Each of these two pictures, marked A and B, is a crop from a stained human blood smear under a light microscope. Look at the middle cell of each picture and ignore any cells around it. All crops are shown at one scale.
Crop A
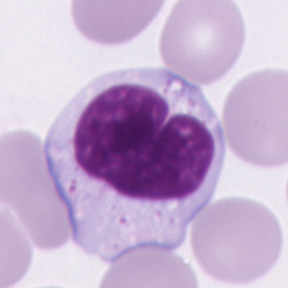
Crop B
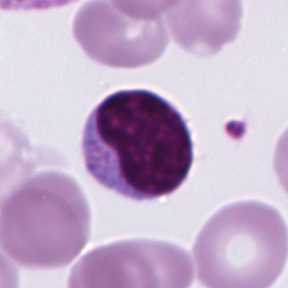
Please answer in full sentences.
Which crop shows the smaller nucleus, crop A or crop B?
It is the nucleus in crop B; the one in crop A has about 1.5 times its area.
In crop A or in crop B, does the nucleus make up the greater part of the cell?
In crop B the nucleus takes up the larger part of its cell.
